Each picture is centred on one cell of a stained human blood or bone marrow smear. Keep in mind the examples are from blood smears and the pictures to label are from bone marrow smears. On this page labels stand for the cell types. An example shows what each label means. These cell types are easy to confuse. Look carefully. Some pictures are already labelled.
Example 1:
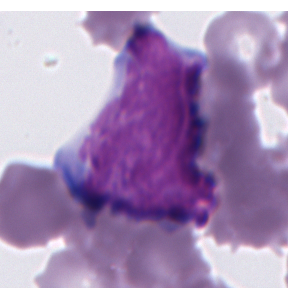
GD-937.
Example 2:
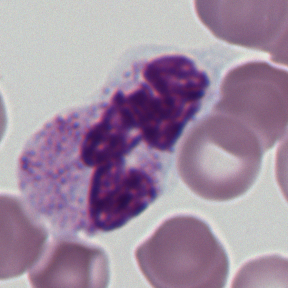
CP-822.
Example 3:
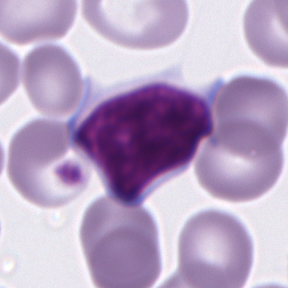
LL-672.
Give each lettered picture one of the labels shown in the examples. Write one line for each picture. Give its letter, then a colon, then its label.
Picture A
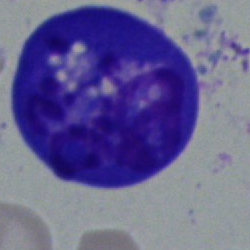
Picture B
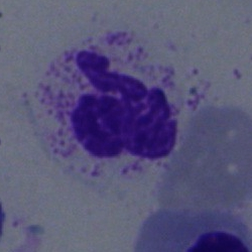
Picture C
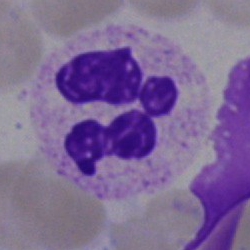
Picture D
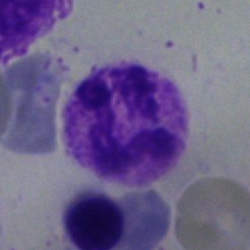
A: GD-937.
B: CP-822.
C: CP-822.
D: CP-822.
